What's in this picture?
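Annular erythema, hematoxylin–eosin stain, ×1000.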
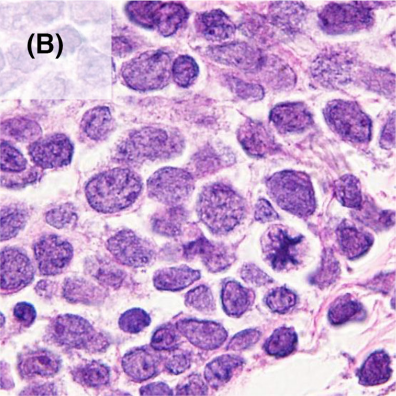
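A dense sheet of mononuclear cells fills the field, closely packed with little intervening stroma. The cells are medium-sized to large, with round to oval, sometimes slightly irregular or indented nuclei that occupy most of each cell. The chromatin is dense and purple, with a finely granular pattern, and the surrounding cytoplasm is scant and pale pink to lilac. One cell near the centre is in mitosis, showing clumped, spiky dark chromosomes. A few smaller, darker, compact nuclei are scattered among the larger cells, and thin pink fibres appear at the edges.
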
